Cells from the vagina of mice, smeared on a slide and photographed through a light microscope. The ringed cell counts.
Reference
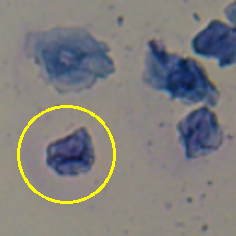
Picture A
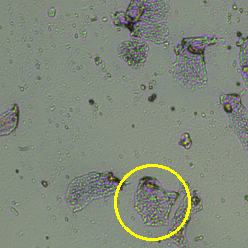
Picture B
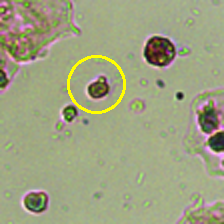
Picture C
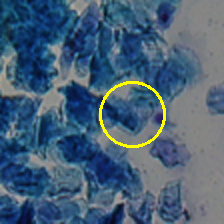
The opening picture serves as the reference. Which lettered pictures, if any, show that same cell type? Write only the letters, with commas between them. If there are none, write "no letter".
A, C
